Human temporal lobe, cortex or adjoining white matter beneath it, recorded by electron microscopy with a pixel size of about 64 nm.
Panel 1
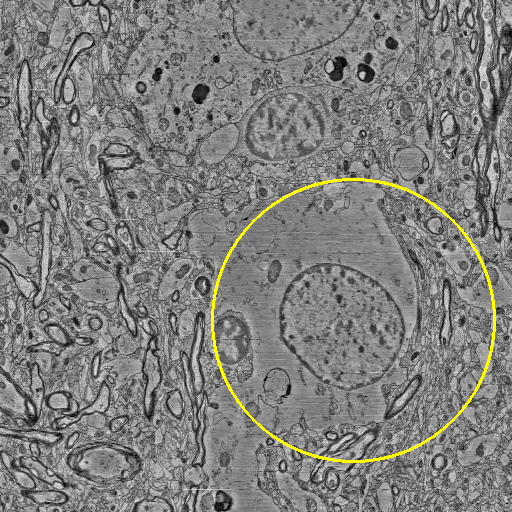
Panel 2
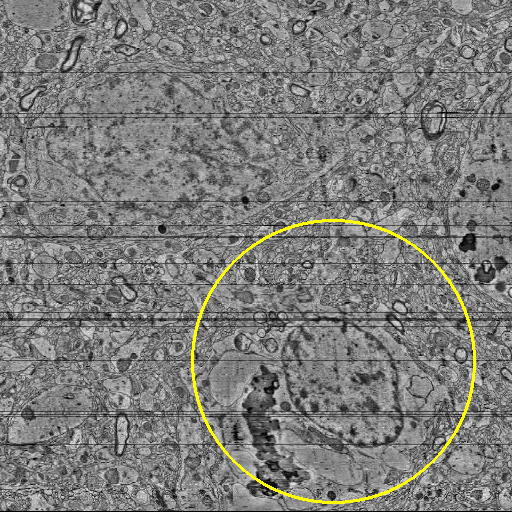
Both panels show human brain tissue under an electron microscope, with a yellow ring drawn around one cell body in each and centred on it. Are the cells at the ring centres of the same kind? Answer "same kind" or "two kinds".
same kind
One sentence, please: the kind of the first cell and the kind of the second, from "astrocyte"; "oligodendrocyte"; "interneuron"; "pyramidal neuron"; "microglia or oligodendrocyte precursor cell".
Each of the ringed cells, first and second, is an astrocyte.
